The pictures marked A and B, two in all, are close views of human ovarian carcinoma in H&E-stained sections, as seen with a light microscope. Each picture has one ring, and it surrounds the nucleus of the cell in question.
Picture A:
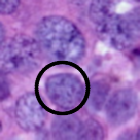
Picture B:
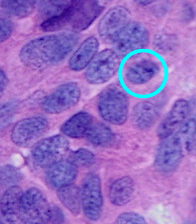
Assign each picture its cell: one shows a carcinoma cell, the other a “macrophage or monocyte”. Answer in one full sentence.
In picture A the cell is a carcinoma cell; in picture B, a “macrophage or monocyte”.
